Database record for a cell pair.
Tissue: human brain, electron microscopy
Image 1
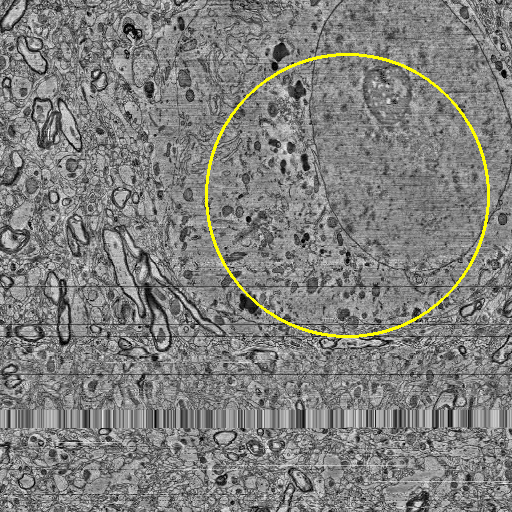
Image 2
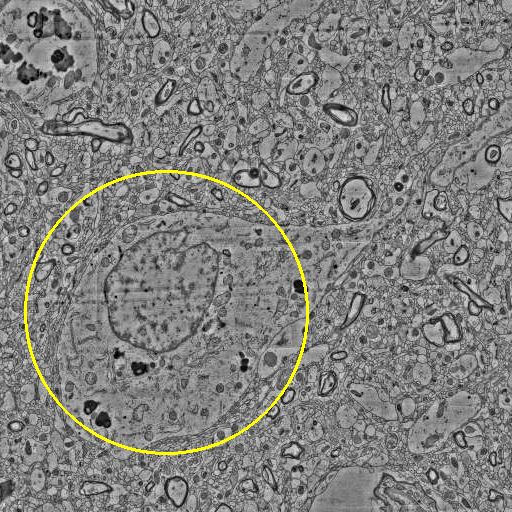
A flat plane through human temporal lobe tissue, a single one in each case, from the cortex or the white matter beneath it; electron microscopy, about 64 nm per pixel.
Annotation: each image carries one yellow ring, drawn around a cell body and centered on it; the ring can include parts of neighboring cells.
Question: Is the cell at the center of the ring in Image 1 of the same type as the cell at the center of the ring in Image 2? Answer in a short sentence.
Yes, the cells are of the same type.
